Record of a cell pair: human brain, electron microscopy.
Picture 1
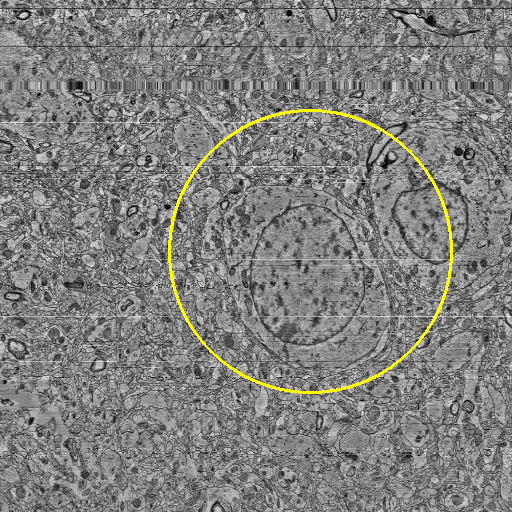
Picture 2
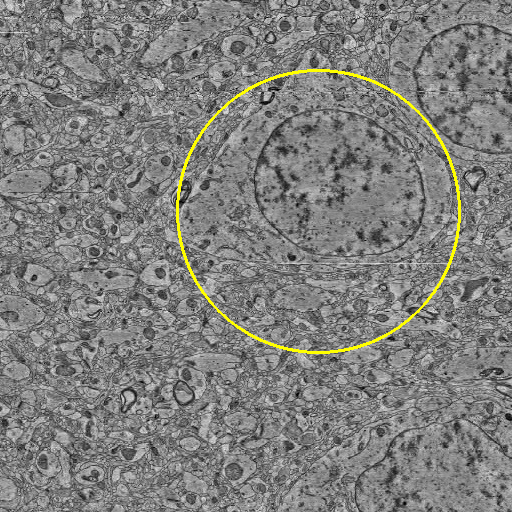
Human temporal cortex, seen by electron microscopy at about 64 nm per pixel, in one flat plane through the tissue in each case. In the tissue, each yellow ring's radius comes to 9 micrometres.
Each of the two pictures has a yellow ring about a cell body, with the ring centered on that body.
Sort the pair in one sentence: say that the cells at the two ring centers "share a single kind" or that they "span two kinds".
The cells centered in the rings of Pictures 1 and 2 share a single kind.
